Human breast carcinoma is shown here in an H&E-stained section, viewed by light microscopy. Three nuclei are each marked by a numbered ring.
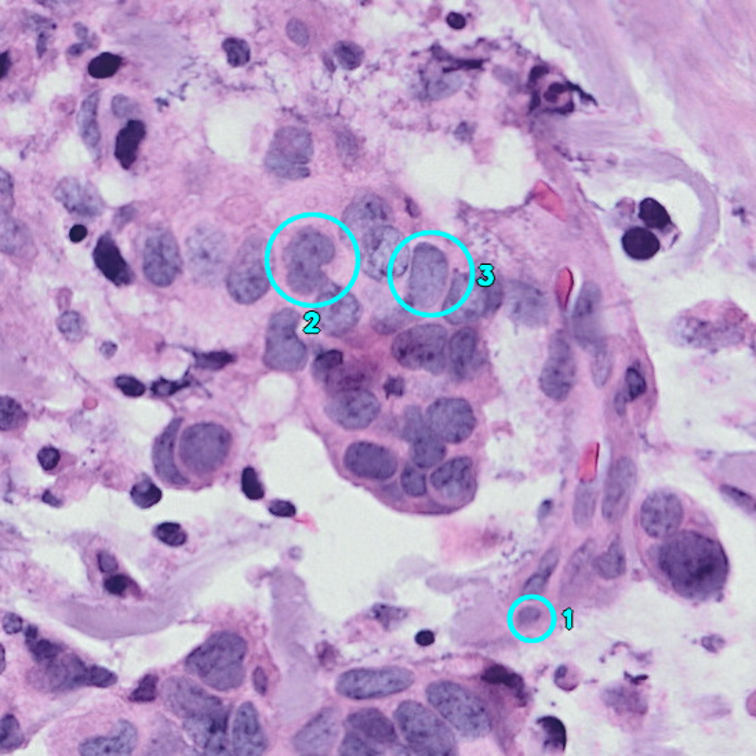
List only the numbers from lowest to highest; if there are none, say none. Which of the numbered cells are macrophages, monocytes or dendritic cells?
none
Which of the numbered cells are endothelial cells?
1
